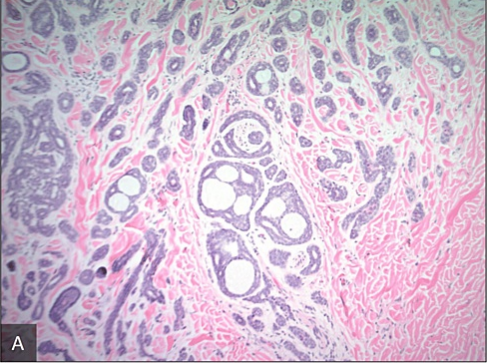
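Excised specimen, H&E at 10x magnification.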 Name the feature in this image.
Tubular and cribriform morphology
